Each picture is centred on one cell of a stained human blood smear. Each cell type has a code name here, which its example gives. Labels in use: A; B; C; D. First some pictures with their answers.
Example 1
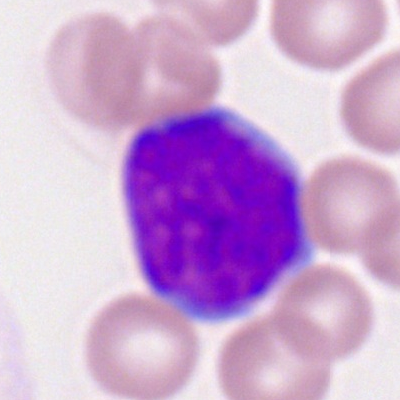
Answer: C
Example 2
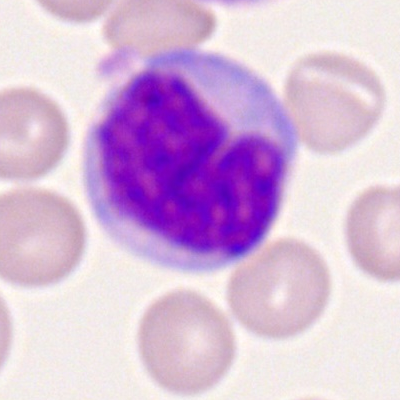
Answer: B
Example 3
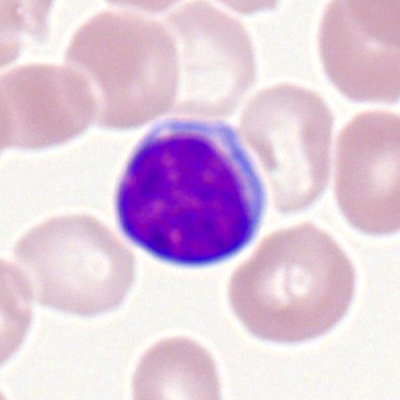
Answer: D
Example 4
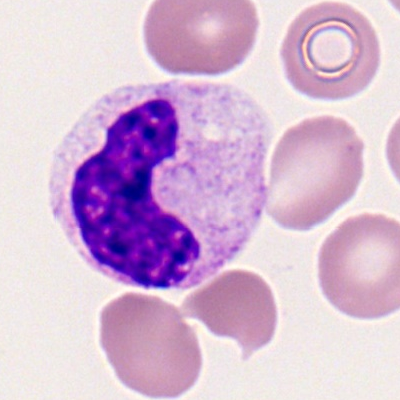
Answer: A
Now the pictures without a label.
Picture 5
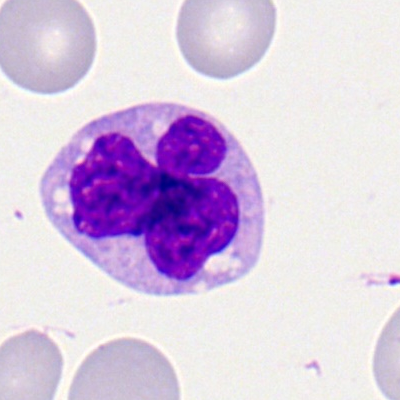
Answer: B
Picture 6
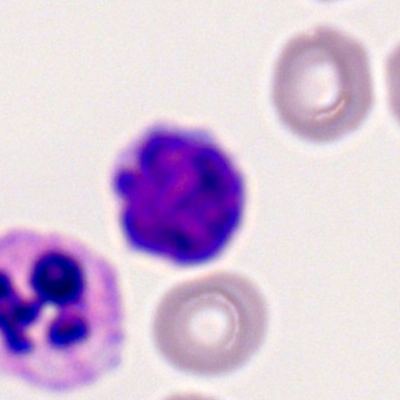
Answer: D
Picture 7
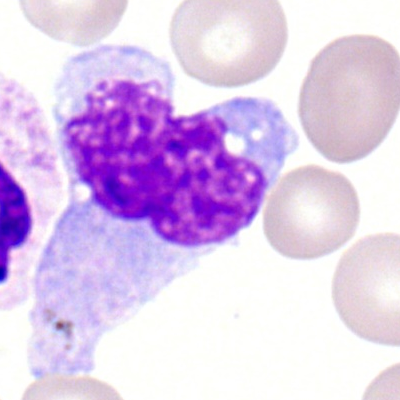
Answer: B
